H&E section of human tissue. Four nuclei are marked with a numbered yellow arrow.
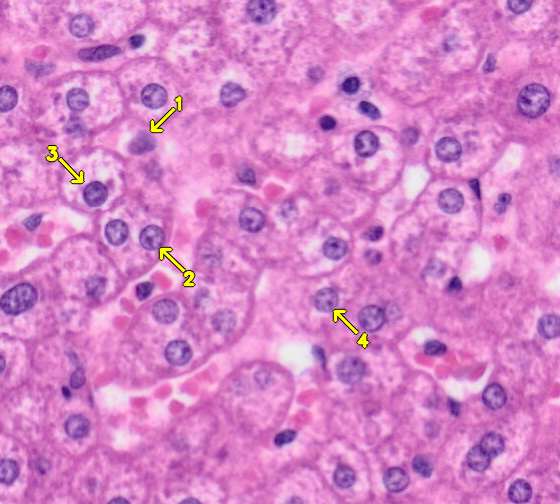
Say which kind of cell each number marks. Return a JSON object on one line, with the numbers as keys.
{"1": "endothelial cell", "2": "hepatocyte", "3": "hepatocyte", "4": "hepatocyte"}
